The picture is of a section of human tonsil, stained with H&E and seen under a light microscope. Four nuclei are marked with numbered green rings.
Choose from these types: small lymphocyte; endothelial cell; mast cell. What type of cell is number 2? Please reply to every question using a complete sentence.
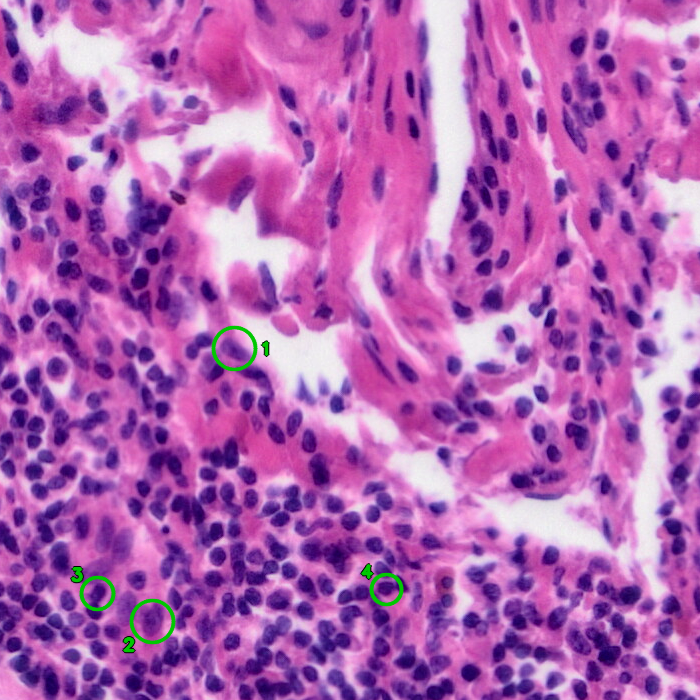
Corresponding to an endothelial cell is the cell labelled 2.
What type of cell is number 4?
The cell identified by the number 4 is a small lymphocyte.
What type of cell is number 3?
The cell that carries the label 3 is an endothelial cell.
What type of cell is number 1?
Cell number 1 in this section is an endothelial cell.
